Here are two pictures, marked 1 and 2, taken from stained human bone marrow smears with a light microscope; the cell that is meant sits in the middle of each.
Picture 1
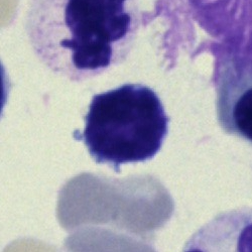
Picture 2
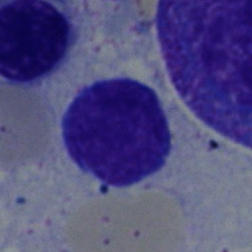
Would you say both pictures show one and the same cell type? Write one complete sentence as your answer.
Yes, they are the same type: both are lymphocytes.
